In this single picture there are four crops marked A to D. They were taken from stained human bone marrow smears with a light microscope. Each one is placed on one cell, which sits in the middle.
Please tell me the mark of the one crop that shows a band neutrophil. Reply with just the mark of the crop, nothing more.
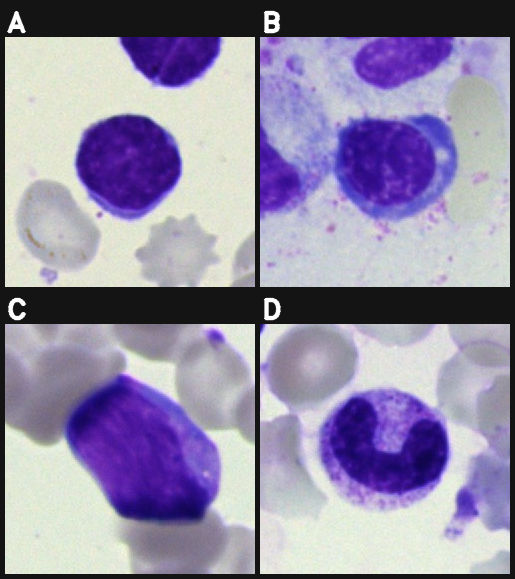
D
